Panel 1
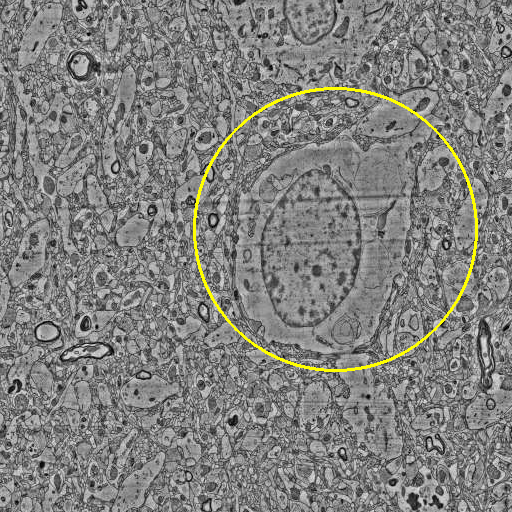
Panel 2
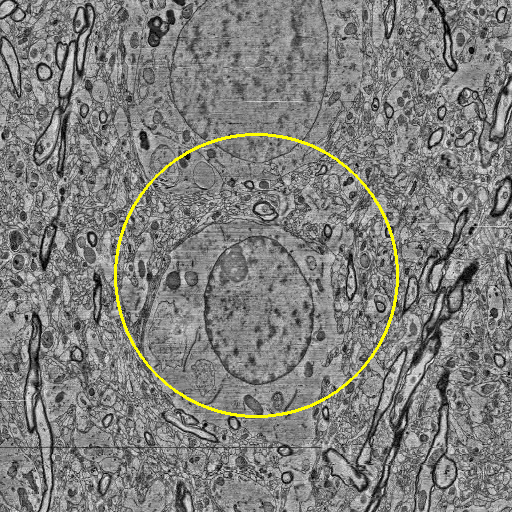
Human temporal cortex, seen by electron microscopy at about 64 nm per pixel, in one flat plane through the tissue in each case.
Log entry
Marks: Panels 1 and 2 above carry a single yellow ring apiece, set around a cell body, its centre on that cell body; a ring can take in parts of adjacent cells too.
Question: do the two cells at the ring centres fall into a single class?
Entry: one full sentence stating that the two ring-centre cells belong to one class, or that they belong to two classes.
The two ring-centre cells in Panels 1 and 2 belong to one class.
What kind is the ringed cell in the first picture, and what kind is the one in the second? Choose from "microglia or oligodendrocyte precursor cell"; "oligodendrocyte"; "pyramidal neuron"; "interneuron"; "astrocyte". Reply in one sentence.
Both the first and the second picture show an astrocyte in the ring.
